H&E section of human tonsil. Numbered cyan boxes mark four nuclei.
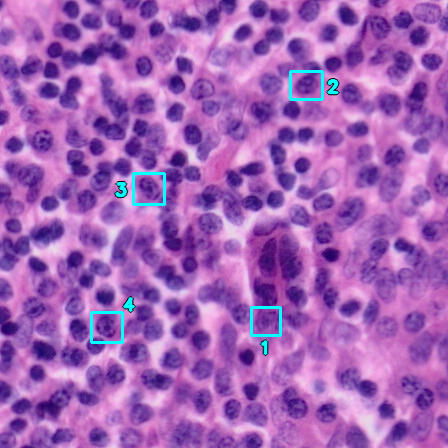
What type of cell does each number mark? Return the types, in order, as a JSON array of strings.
["squamous epithelial cell", "plasma cell", "plasma cell", "plasma cell"]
